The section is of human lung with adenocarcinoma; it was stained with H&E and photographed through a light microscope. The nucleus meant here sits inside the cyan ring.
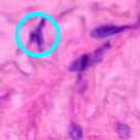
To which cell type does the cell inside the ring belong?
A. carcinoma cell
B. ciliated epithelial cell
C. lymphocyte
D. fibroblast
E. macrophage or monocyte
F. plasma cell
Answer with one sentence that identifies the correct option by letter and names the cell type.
Exactly as option D gives it, the cell inside the ring is a fibroblast.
